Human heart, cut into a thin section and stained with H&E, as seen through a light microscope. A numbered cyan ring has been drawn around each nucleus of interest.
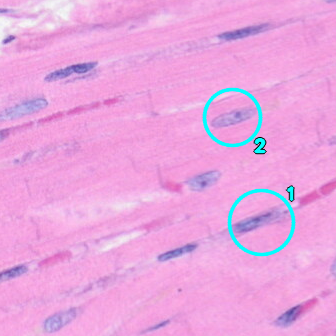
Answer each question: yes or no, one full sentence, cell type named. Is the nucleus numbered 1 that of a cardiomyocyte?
No, an endothelial cell is what cell 1 is, not a cardiomyocyte.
